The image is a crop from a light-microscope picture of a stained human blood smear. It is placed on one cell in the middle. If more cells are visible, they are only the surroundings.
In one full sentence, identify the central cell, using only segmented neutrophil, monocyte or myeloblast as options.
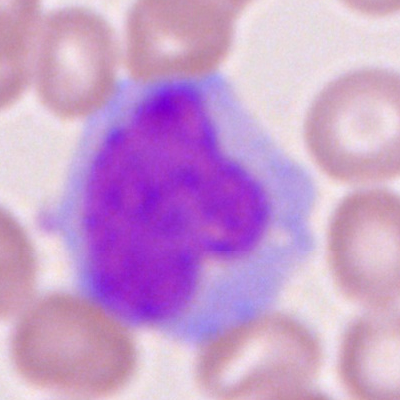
The central element of this crop is a cell, namely a monocyte.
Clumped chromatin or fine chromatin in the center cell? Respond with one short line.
The chromatin pattern is fine and free of coarse clumps.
